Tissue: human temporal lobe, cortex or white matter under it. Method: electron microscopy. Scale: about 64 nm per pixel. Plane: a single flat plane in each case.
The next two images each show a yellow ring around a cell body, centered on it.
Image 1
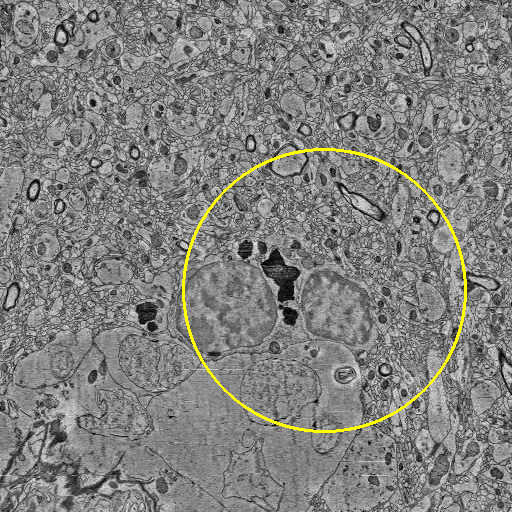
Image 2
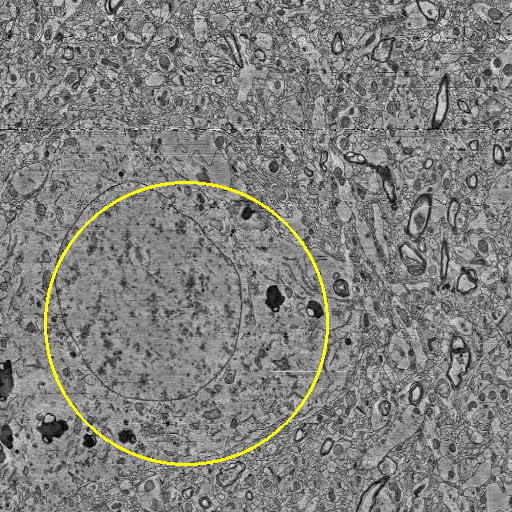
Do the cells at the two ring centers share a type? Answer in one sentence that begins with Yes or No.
No, across the two images the cells at the ring centers are of two types.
